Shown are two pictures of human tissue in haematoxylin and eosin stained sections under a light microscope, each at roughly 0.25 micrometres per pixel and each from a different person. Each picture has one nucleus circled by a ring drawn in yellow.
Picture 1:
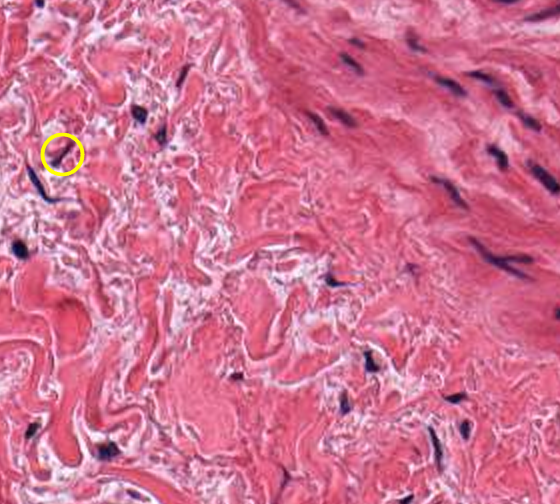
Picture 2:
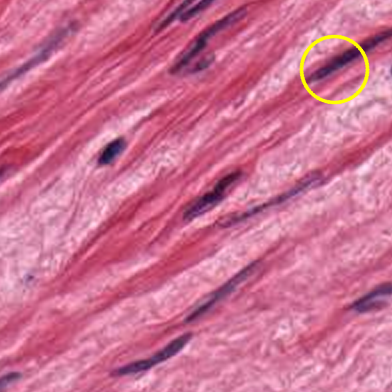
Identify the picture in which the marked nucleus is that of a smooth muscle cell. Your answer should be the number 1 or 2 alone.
2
